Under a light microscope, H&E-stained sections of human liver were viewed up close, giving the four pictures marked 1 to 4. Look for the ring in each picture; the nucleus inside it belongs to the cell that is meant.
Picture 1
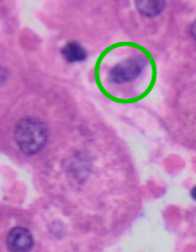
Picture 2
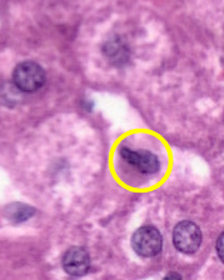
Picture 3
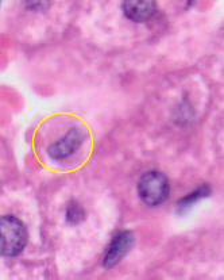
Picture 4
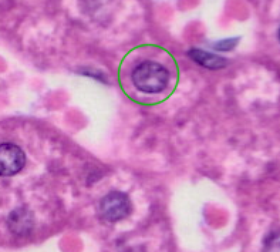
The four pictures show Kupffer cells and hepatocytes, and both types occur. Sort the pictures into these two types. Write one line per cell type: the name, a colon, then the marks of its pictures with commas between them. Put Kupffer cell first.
Kupffer cell: 1, 2, 3
hepatocyte: 4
